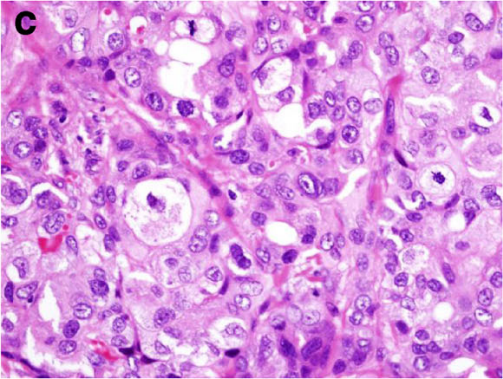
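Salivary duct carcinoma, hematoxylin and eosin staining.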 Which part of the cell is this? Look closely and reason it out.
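Several cells show dark, condensed, clumped chromatin without a nuclear membrane. Some of these lie within clear cytoplasmic haloes.
Conclusion: mitotic figures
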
